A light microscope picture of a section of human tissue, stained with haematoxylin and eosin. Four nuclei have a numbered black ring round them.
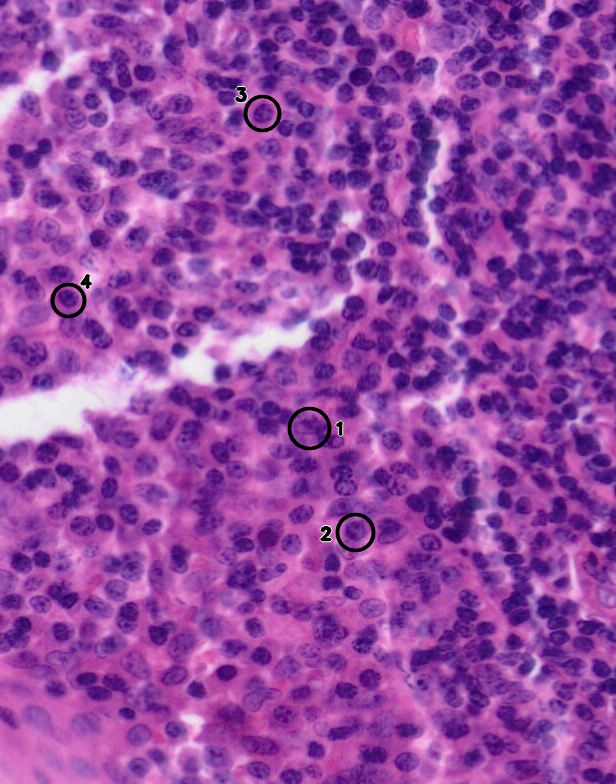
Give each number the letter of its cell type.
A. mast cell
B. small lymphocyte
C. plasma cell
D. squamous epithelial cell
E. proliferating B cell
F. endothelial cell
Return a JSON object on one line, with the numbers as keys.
{"1": "D", "2": "C", "3": "C", "4": "C"}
